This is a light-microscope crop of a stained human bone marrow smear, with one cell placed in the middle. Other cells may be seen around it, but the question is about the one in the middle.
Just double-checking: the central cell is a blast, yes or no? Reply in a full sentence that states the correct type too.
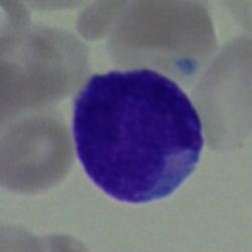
Yes, the cell here in the middle is a blast.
